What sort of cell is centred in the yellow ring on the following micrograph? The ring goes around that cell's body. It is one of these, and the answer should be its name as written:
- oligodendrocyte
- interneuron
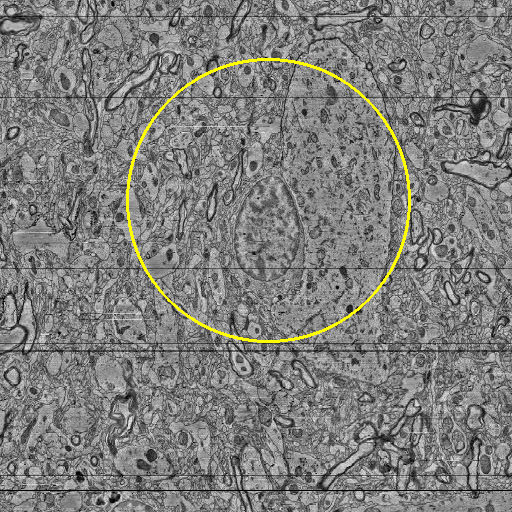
oligodendrocyte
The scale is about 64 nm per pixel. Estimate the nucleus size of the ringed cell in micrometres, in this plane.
Roughly 7 micrometres long and 4 micrometres wide; in this plane the nucleus is clearly longer than it is wide.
